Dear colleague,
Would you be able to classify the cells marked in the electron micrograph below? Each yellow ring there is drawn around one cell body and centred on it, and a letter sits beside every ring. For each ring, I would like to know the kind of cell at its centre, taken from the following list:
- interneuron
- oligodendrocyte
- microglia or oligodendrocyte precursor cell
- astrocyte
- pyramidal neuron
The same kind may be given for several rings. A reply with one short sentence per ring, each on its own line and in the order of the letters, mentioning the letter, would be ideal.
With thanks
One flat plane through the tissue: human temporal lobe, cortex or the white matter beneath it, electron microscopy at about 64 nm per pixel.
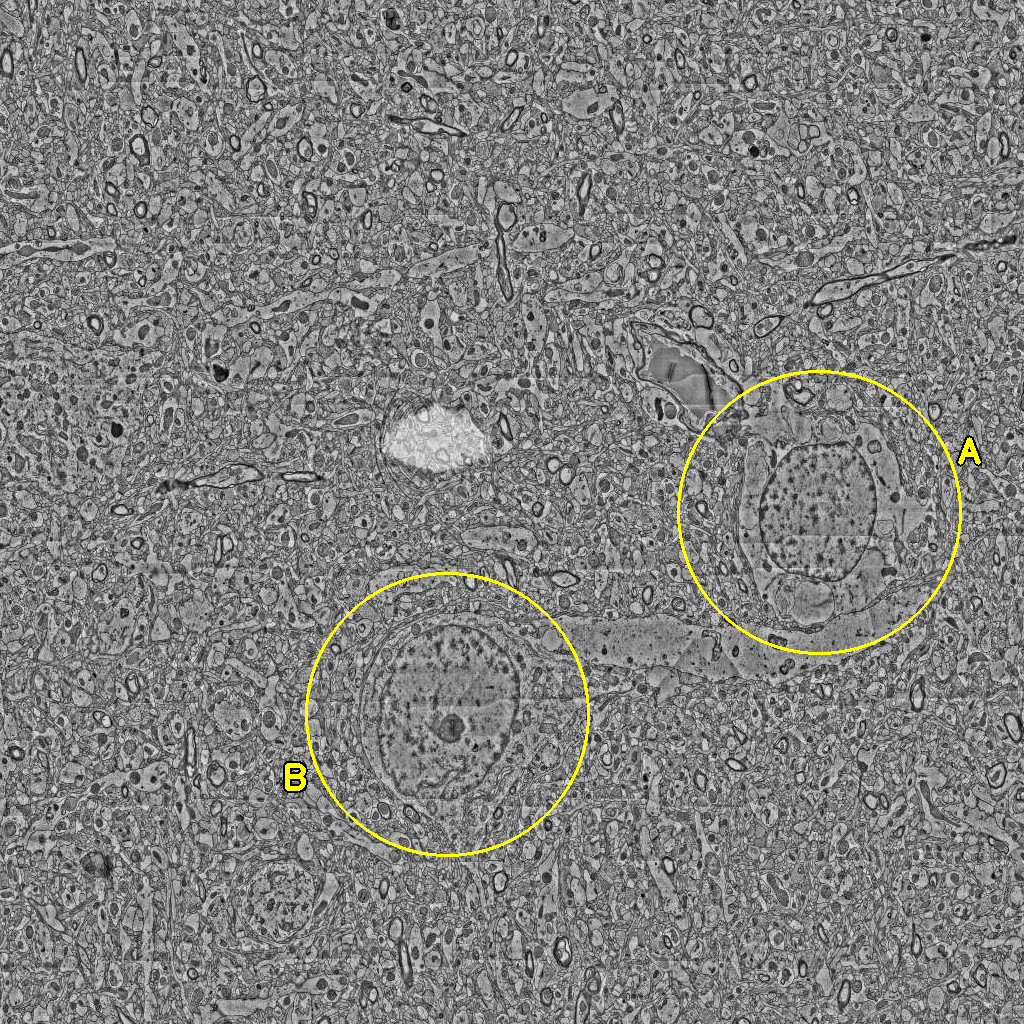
Ring A contains an astrocyte at its centre.
Ring B contains an interneuron at its centre.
